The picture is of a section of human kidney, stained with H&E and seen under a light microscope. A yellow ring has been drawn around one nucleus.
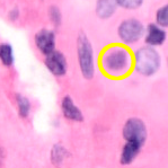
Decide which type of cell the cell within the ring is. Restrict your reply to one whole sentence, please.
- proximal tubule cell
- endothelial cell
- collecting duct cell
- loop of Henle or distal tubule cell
In cellular terms, the cell within the ring is a collecting duct cell.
